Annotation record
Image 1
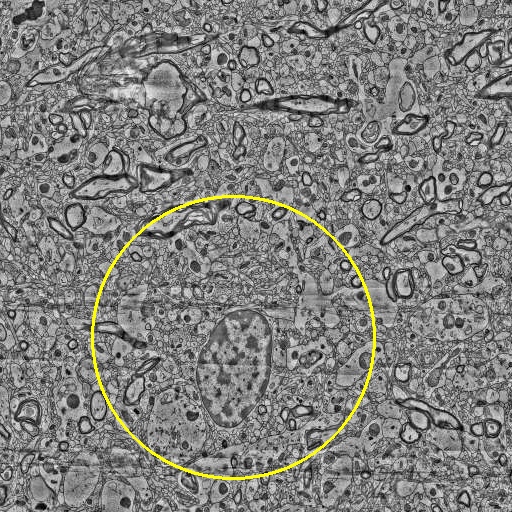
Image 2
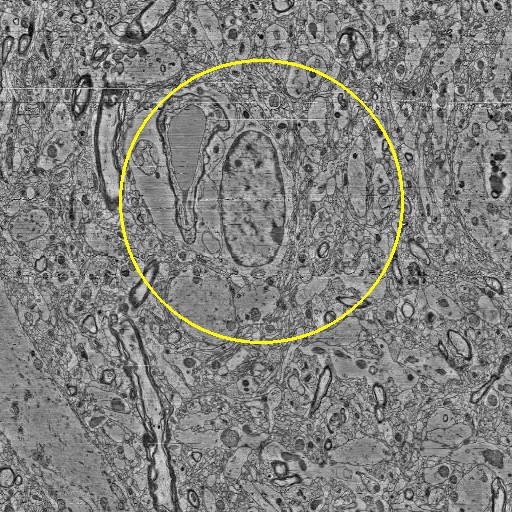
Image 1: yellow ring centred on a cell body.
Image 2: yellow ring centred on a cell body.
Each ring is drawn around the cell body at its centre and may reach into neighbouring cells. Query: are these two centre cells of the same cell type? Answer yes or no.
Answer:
yes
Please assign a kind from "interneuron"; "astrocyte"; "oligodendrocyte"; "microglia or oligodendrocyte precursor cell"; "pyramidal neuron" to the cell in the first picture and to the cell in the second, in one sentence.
Each of the two rings is centred on a microglial cell or oligodendrocyte precursor cell.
